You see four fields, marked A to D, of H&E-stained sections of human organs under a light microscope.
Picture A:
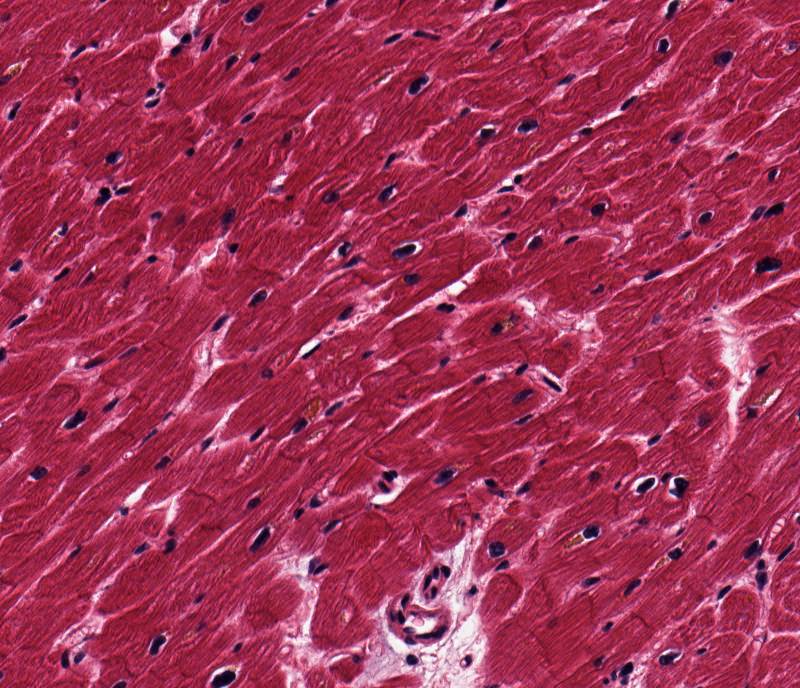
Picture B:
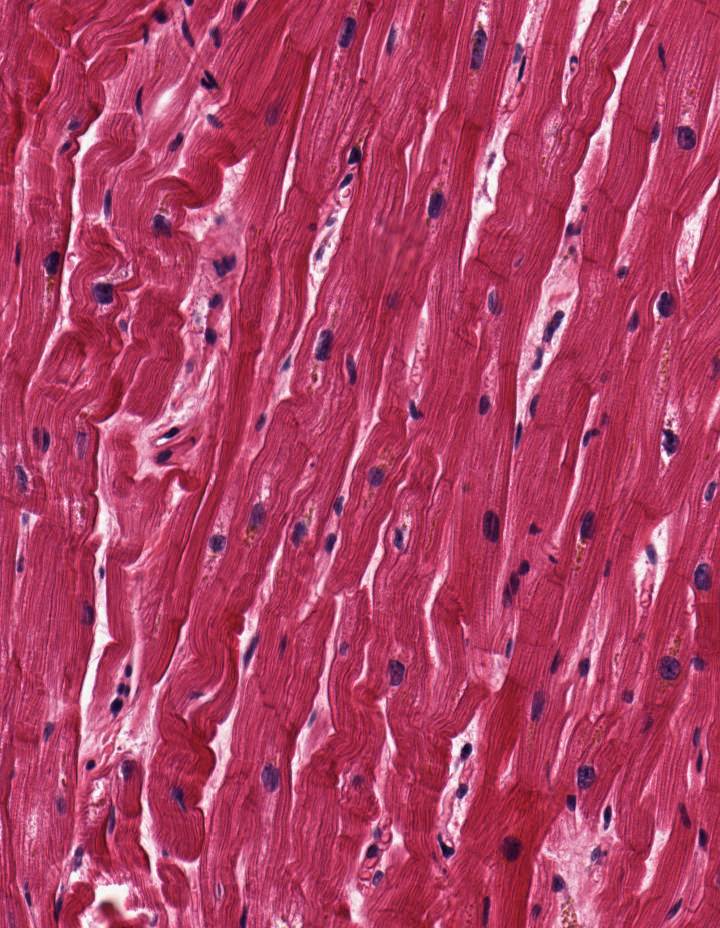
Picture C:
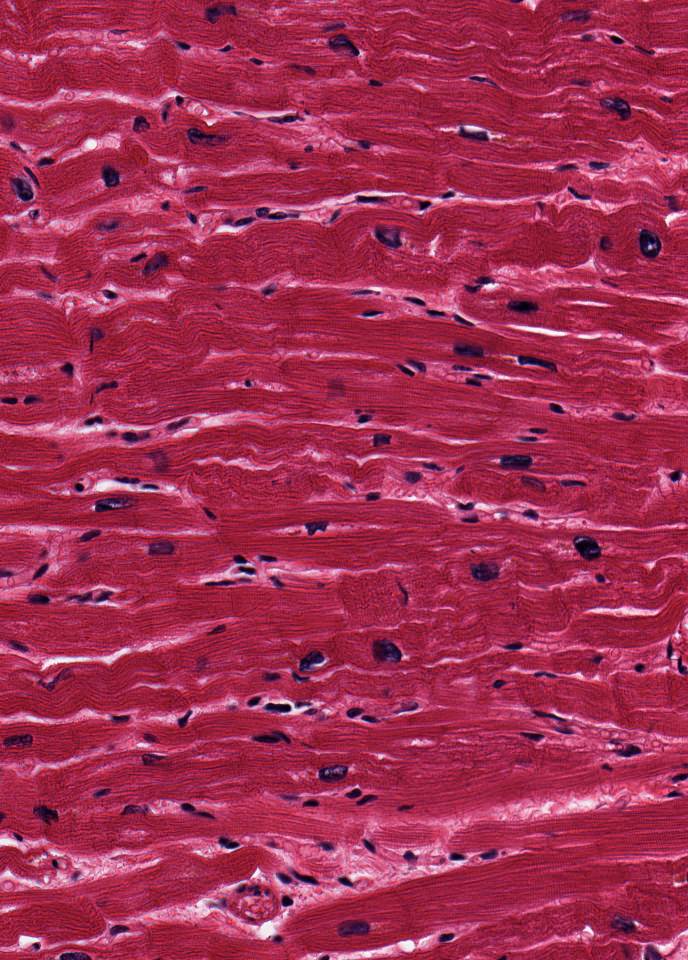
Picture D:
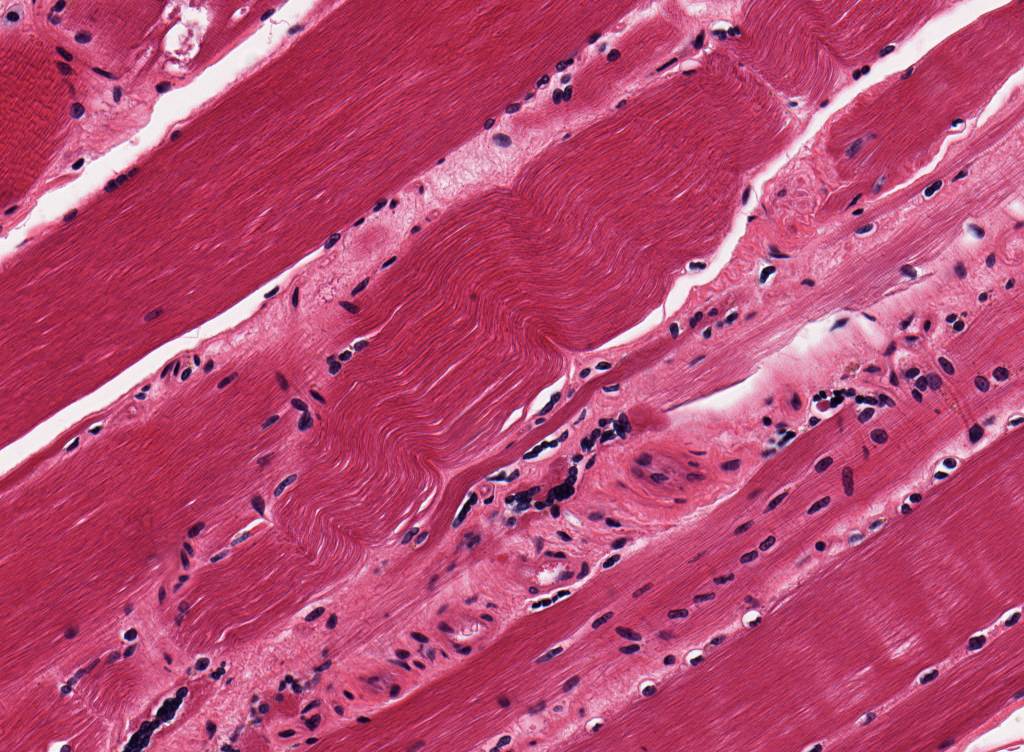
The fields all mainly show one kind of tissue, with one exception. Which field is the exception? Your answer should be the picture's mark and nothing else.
D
